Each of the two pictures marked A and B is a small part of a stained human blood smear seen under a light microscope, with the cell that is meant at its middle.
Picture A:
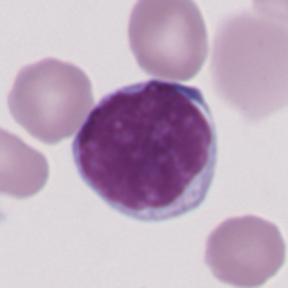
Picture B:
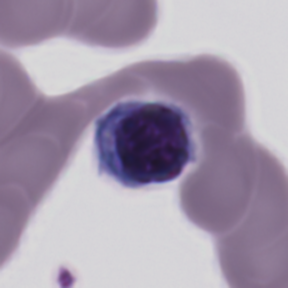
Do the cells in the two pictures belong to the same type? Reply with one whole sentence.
No. Picture A shows a typical lymphocyte, but picture B shows a plasma cell.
